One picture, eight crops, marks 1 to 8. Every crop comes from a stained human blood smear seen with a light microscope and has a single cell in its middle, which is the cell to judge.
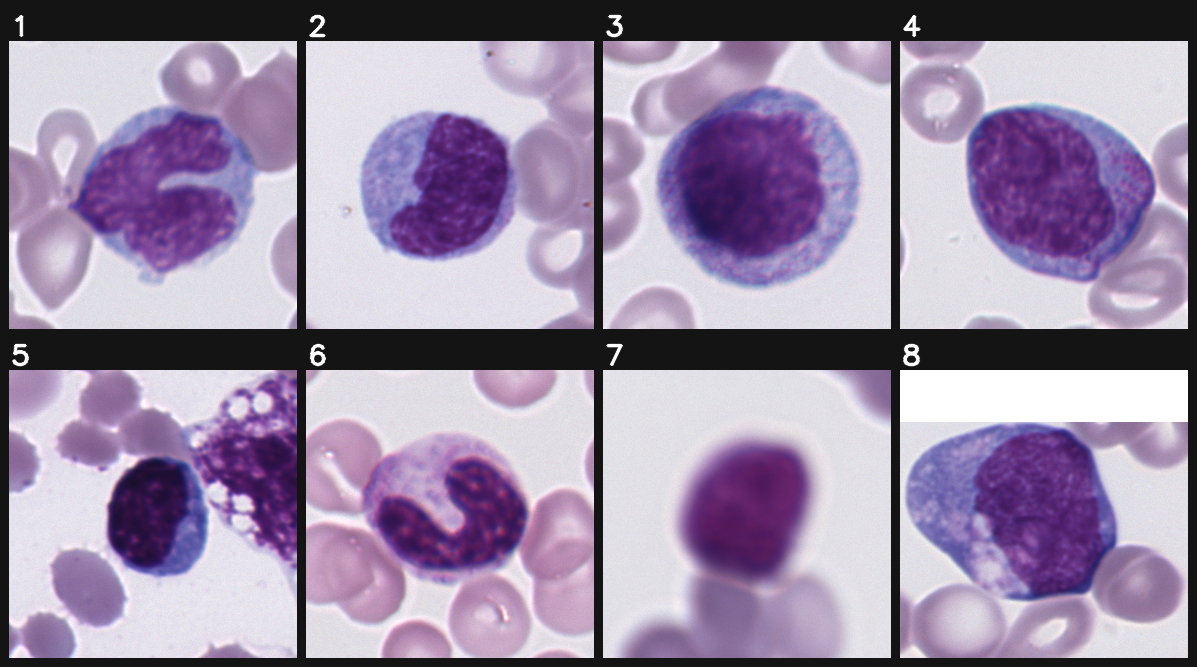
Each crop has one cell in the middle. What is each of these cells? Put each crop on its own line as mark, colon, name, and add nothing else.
1: monocyte
2: monocyte
3: promyelocyte
4: promyelocyte
5: typical lymphocyte
6: band neutrophil
7: smudge cell
8: promyelocyte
